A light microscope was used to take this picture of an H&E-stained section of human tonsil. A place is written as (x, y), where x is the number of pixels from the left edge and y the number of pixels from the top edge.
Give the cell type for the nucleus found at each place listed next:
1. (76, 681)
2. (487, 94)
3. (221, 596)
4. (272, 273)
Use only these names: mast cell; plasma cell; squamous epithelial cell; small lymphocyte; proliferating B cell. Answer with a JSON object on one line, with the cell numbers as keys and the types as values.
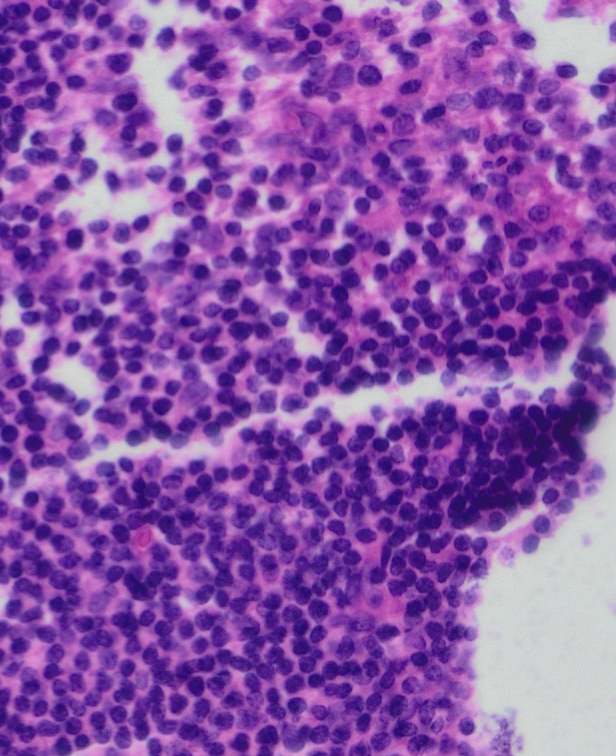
{"1": "small lymphocyte", "2": "proliferating B cell", "3": "small lymphocyte", "4": "small lymphocyte"}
